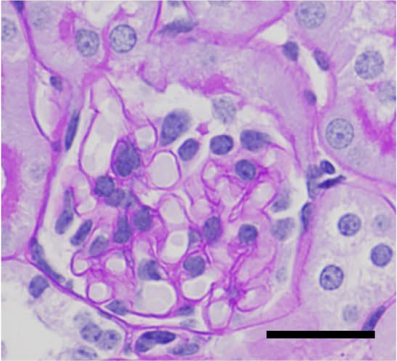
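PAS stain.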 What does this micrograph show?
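A single glomerulus sits among renal tubules, its tuft made of looping capillaries whose walls are outlined in thin magenta lines. Dark blue, oval nuclei are scattered through the tuft, and open capillary lumens are visible between them. A thin capsule encloses the tuft with a narrow clear space in between. Around it lie tubule cross-sections lined by cuboidal cells with pale pink cytoplasm and round nuclei.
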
